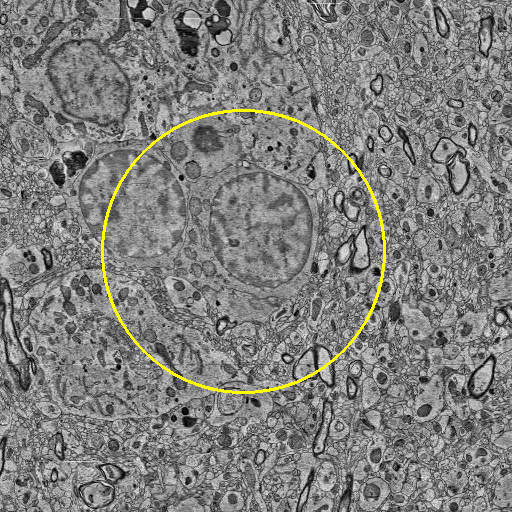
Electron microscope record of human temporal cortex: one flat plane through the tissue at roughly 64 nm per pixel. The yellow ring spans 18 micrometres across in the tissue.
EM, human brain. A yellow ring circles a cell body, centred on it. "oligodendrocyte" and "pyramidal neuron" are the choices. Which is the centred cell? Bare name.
oligodendrocyte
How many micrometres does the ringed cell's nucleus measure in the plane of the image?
The nucleus appears roughly 8 by 6 micrometres in this plane.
